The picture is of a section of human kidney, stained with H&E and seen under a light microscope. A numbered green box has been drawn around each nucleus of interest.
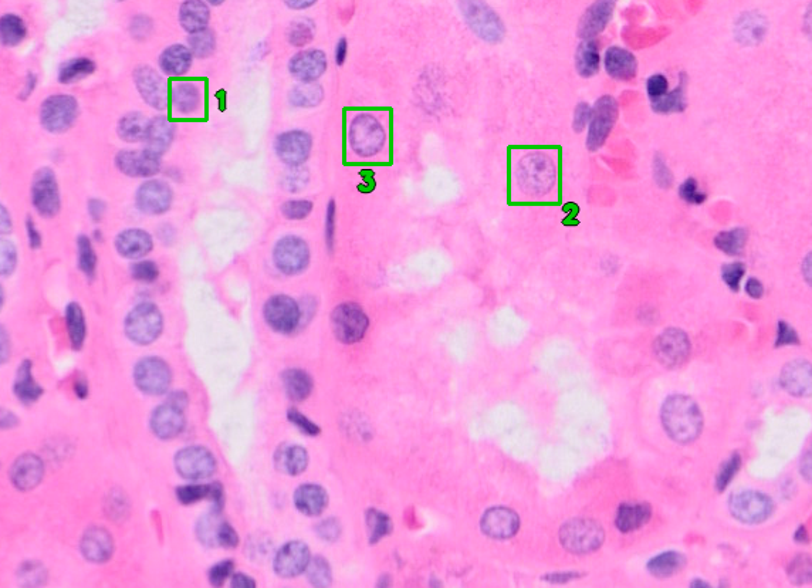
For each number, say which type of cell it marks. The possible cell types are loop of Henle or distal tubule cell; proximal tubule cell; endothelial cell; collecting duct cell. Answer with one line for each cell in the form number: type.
1: collecting duct cell
2: proximal tubule cell
3: proximal tubule cell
